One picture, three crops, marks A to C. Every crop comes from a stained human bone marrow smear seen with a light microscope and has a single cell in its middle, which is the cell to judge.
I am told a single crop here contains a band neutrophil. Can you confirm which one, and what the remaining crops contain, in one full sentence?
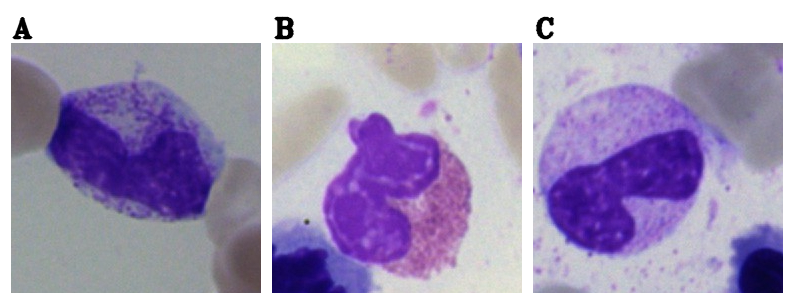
Crop C presents a band neutrophil, while crop A is a metamyelocyte and crop B is an eosinophil.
